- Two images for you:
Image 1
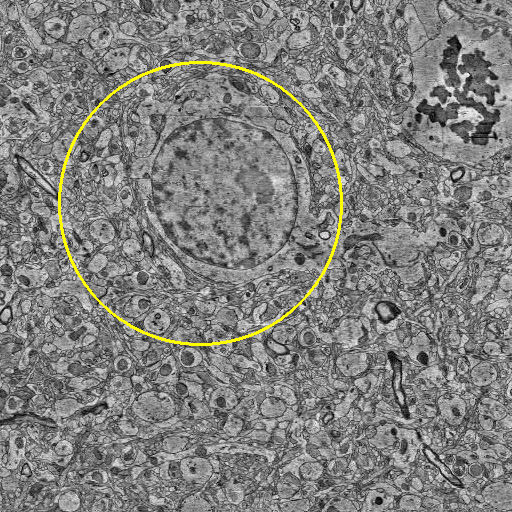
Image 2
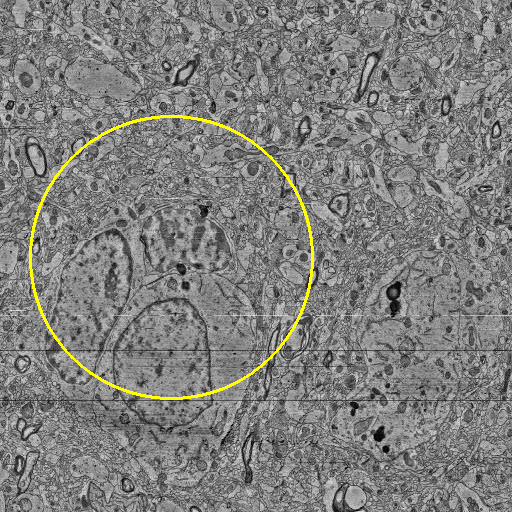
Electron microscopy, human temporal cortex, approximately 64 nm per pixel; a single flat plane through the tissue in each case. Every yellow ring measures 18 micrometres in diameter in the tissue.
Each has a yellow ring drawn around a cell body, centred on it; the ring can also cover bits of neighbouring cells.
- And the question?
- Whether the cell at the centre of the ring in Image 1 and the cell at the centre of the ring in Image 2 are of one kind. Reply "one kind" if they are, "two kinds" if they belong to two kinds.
two kinds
